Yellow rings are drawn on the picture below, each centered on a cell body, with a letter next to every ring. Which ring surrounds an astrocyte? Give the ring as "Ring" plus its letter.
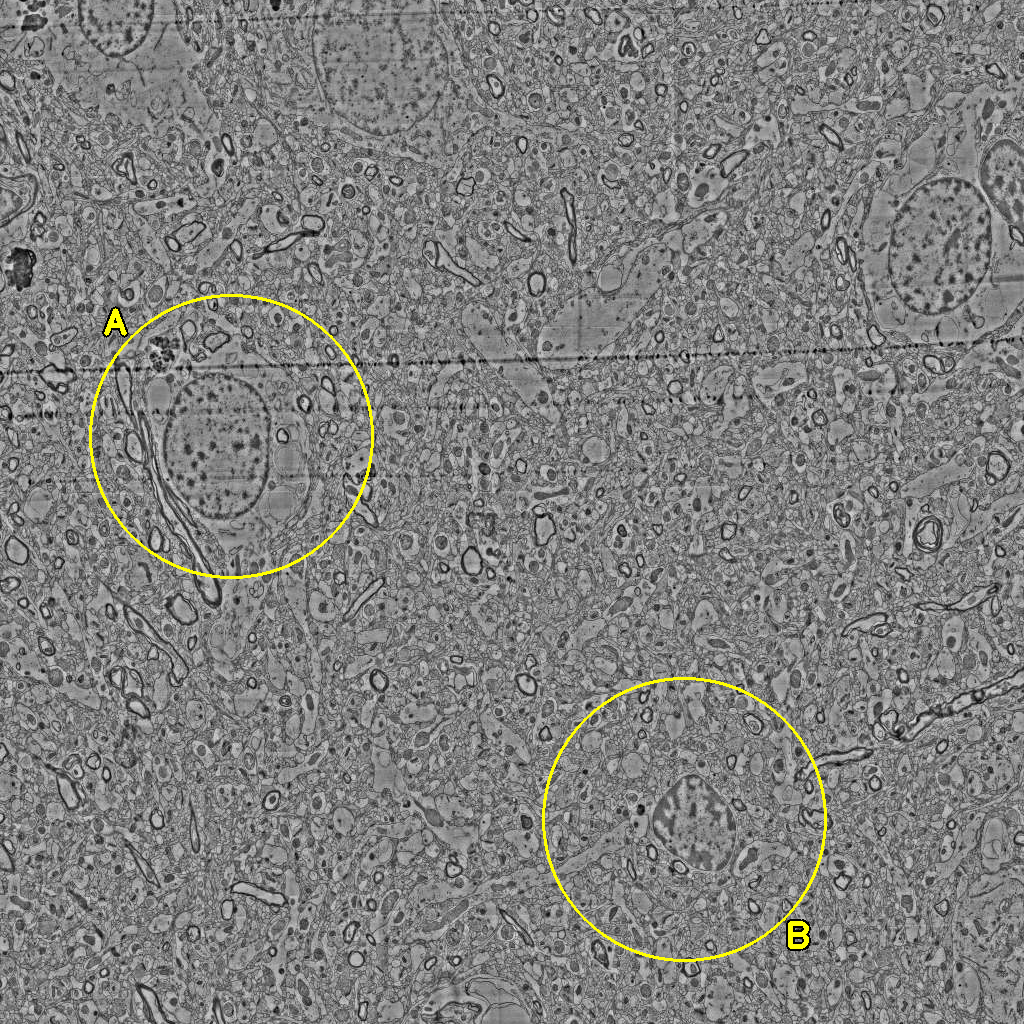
Ring A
